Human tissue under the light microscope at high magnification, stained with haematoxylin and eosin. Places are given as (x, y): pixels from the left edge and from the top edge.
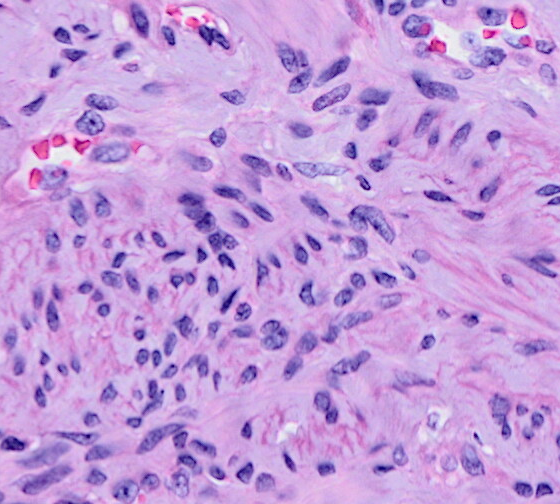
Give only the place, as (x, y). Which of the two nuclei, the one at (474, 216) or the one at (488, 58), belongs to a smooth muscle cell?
(474, 216)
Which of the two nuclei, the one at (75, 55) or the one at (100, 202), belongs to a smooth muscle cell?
(100, 202)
